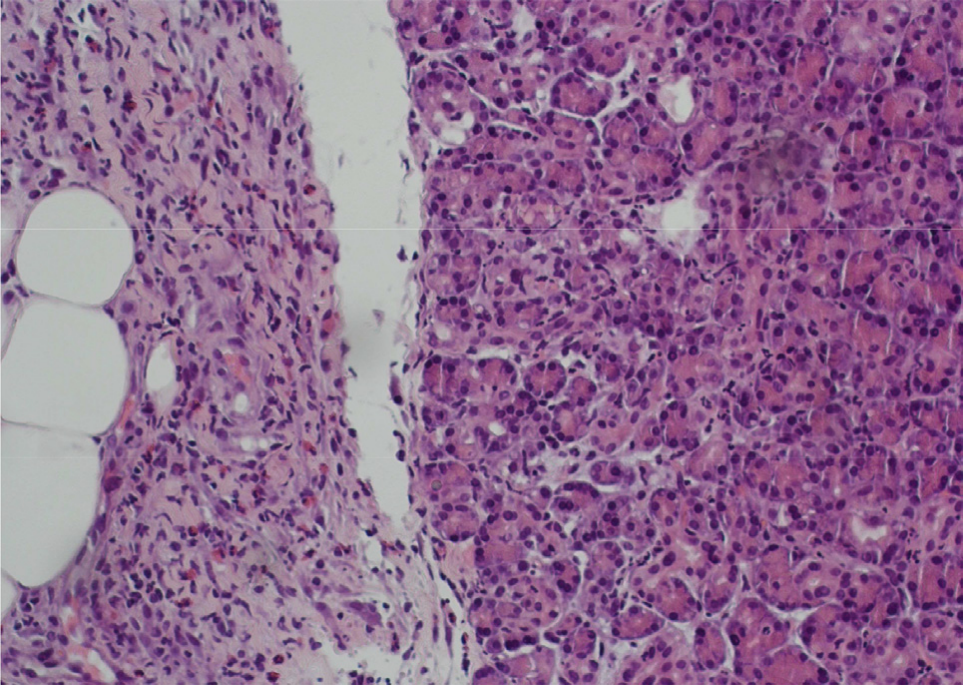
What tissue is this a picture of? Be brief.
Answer: Acinar pancreatic parenchyma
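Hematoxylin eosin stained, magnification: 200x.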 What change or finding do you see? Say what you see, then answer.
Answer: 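Adjacent fibrosis. The left part is loose pink stroma with many scattered spindle-shaped and round nuclei and no glandular units. This stroma lies beside the glandular tissue, separated from it by a cleft. Large empty fat cells sit at the far left edge of the stroma.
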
